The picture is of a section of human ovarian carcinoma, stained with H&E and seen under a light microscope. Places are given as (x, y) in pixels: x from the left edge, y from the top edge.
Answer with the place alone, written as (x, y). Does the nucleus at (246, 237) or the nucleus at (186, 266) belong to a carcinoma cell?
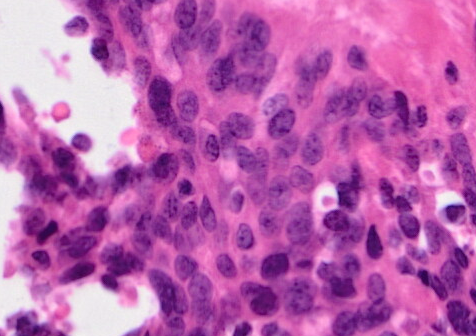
(186, 266)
